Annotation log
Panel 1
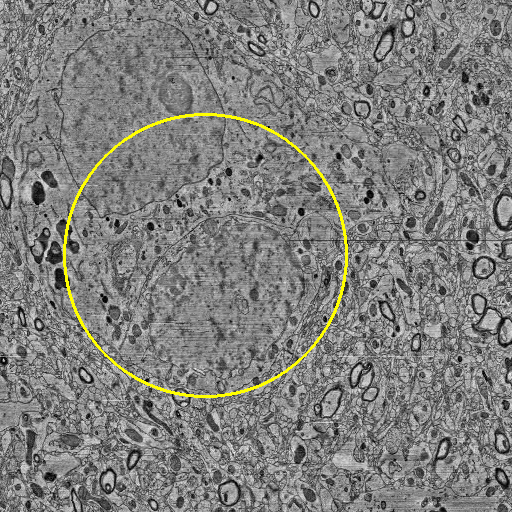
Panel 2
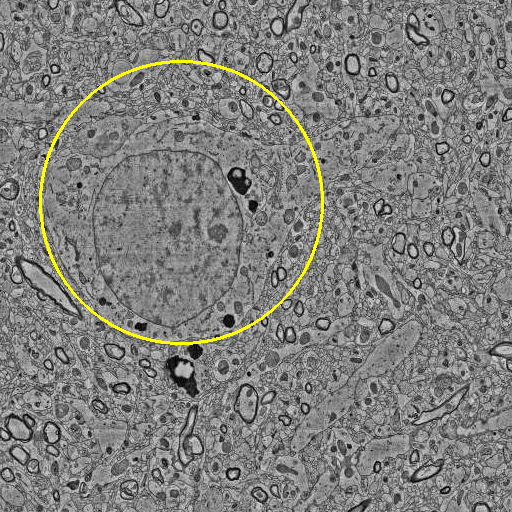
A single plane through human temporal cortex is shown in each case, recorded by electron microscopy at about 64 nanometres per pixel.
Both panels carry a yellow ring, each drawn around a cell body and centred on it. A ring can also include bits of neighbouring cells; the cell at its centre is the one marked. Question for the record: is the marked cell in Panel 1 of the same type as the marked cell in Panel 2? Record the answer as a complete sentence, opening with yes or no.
No, the marked cells in Panel 1 and Panel 2 are of two types.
